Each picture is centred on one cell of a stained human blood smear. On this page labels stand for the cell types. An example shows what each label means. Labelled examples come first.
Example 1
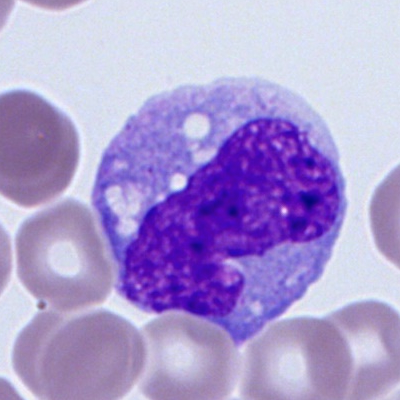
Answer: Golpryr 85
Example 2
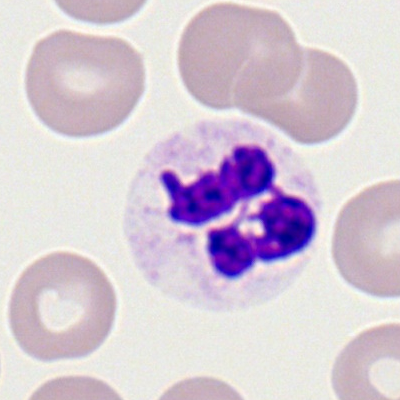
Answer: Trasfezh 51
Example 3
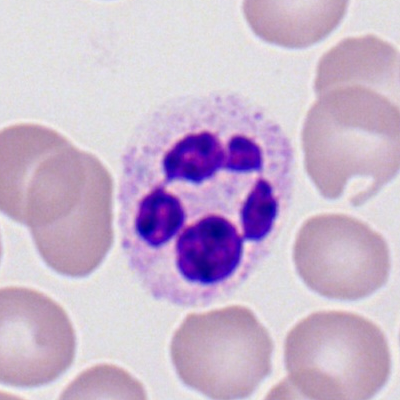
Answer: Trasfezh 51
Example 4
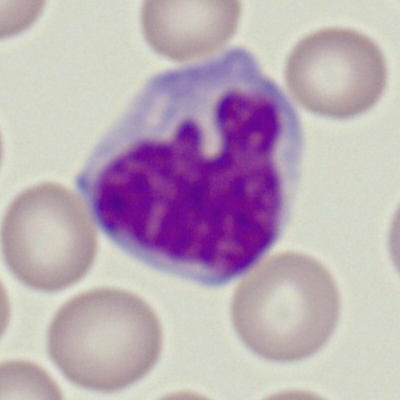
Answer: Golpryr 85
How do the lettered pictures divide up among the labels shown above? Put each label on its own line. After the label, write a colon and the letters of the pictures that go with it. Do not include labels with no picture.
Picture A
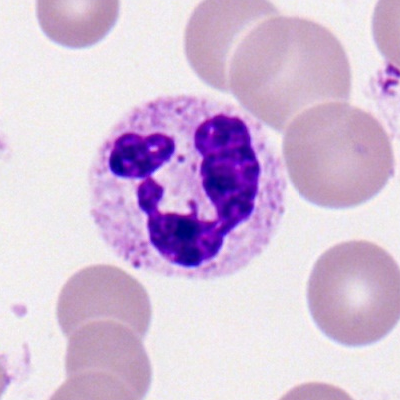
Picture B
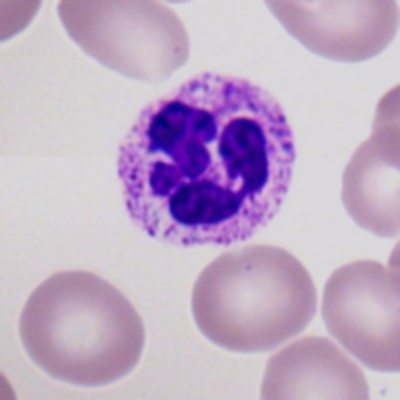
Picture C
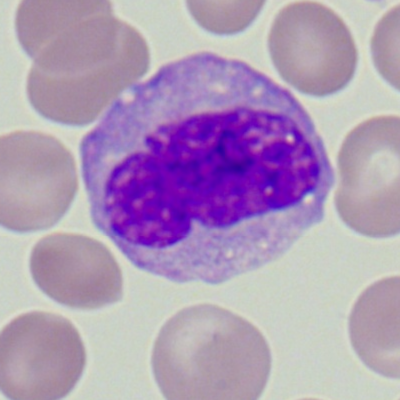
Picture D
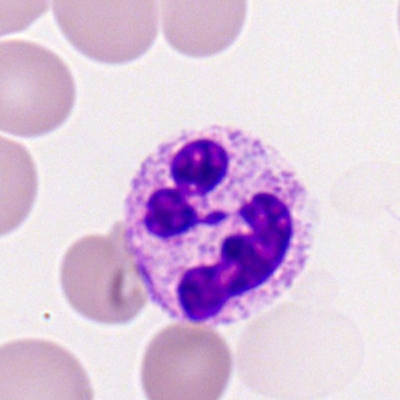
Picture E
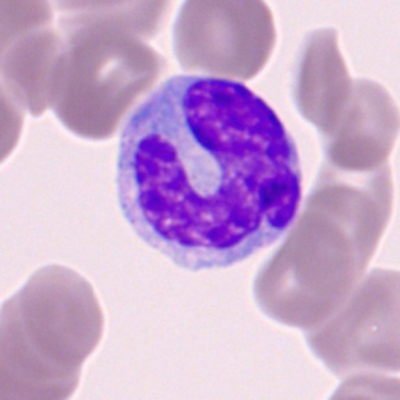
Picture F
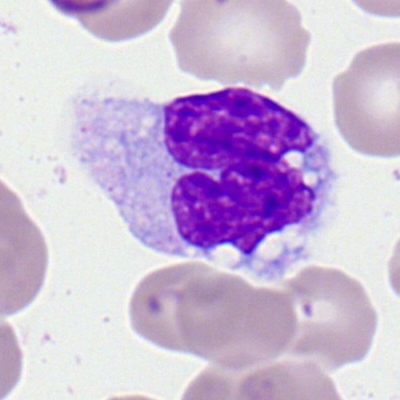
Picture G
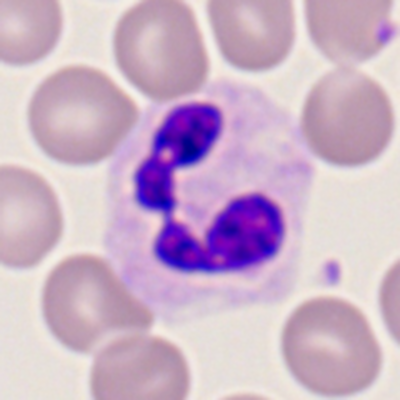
Golpryr 85: C, E, F
Trasfezh 51: A, B, D, G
